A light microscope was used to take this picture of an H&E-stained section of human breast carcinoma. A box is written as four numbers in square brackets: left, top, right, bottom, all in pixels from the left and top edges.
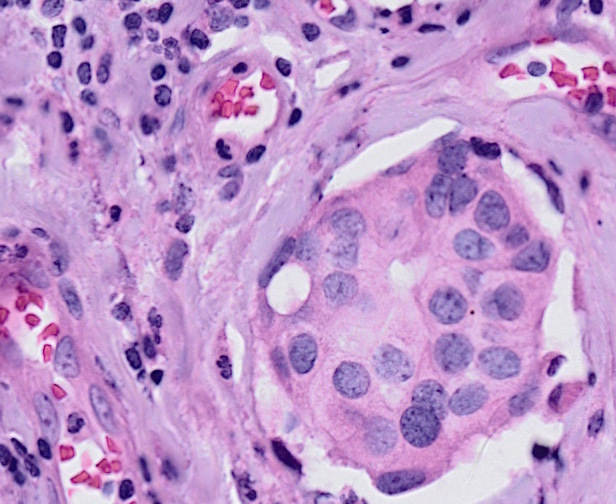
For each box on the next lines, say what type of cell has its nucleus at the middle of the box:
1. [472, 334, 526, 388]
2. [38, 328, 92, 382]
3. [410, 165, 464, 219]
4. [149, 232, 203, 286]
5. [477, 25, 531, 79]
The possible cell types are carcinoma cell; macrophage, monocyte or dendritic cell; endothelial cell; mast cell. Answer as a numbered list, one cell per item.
1. carcinoma cell
2. endothelial cell
3. carcinoma cell
4. macrophage, monocyte or dendritic cell
5. endothelial cell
